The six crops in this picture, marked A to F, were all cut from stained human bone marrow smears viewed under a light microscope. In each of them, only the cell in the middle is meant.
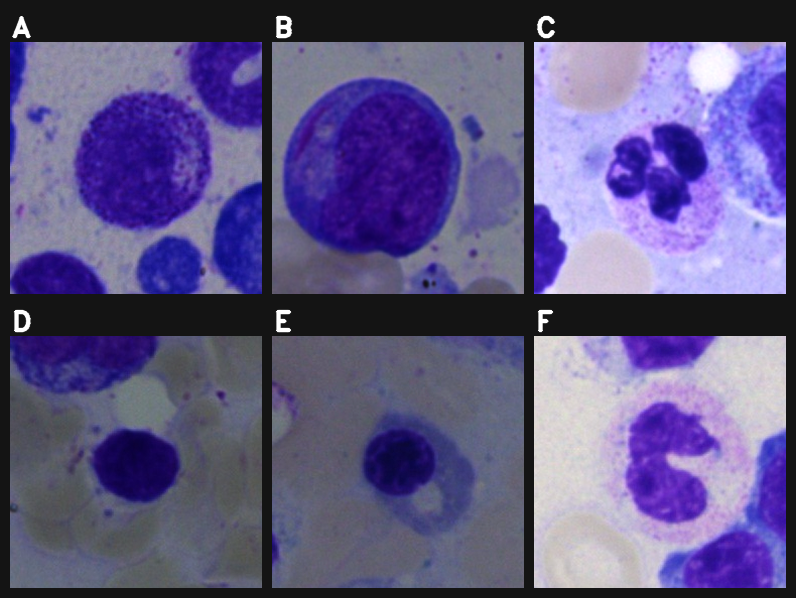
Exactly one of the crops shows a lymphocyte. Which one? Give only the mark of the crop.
D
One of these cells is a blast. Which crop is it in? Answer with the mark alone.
B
